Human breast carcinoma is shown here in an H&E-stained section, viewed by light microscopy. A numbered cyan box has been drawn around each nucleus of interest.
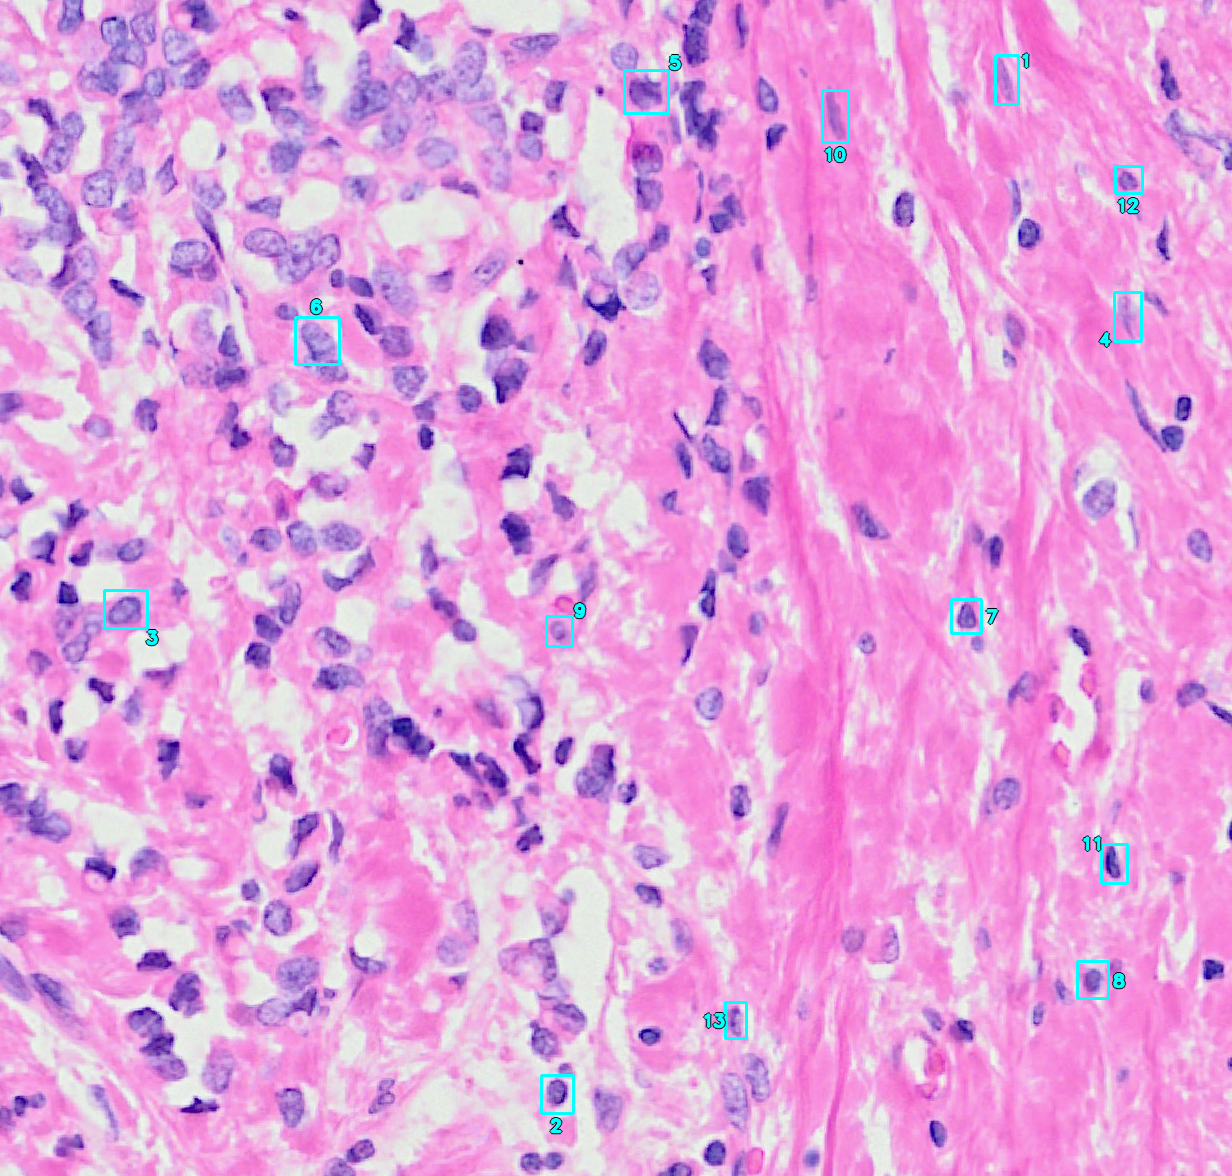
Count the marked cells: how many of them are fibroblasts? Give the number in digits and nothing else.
4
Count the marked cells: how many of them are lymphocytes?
5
